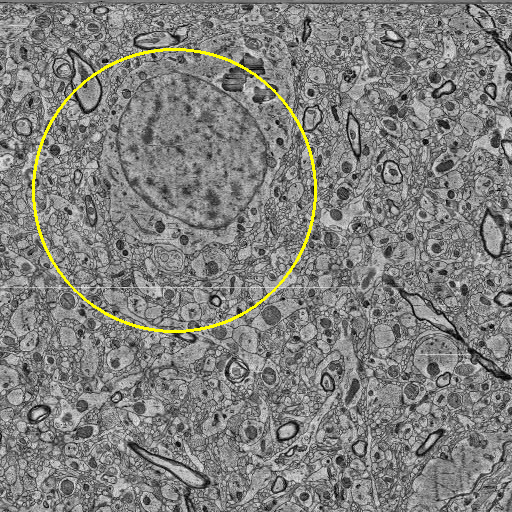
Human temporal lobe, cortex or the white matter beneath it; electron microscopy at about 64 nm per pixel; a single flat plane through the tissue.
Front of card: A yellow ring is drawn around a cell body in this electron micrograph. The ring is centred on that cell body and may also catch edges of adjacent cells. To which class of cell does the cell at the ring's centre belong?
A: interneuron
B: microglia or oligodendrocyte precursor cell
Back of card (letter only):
A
